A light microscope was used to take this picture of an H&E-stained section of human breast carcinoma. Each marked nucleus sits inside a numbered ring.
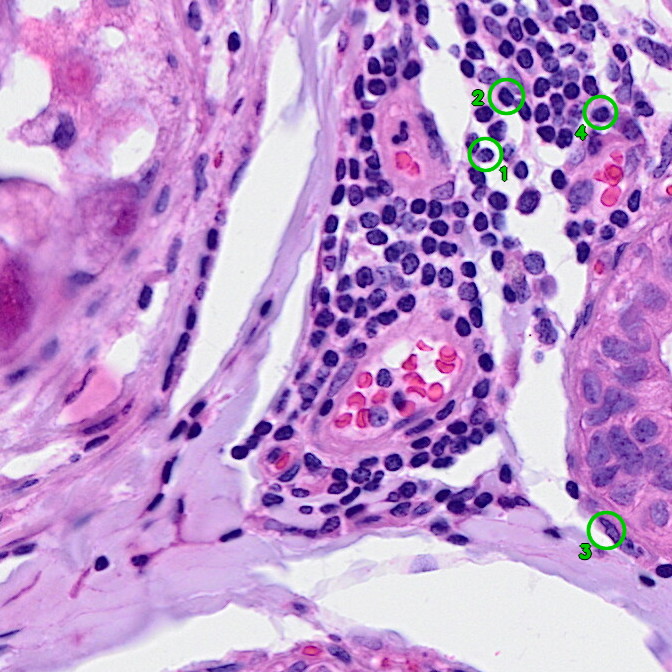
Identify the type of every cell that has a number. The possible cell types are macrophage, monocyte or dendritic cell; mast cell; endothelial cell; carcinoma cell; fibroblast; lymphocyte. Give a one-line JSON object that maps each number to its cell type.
{"1": "lymphocyte", "2": "lymphocyte", "3": "endothelial cell", "4": "lymphocyte"}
